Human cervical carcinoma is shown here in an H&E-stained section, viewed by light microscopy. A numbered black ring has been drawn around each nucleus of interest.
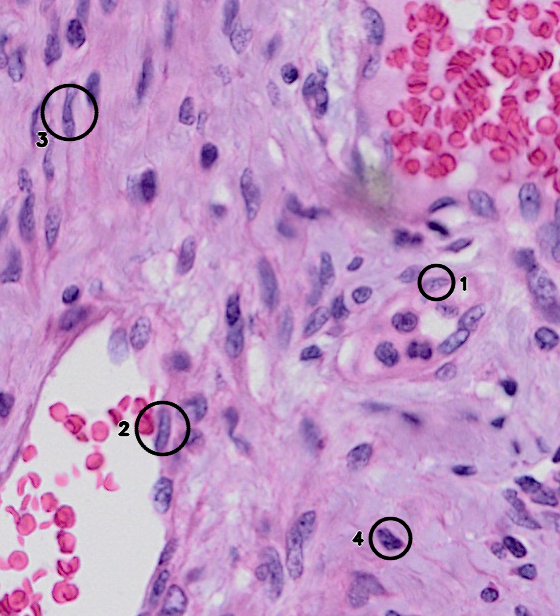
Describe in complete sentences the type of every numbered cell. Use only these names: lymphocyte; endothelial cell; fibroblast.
Cells 1 and 2 are endothelial cells. Cell 3 is a fibroblast. Cell 4 is a lymphocyte.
